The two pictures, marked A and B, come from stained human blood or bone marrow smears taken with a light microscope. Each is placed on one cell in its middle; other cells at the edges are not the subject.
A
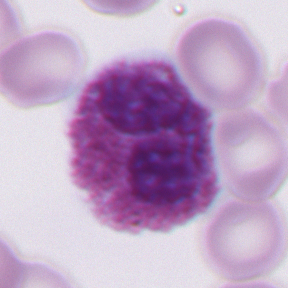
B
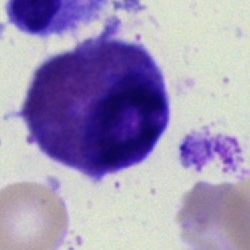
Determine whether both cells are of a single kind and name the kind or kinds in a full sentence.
Yes, the crops both have eosinophils in the middle.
